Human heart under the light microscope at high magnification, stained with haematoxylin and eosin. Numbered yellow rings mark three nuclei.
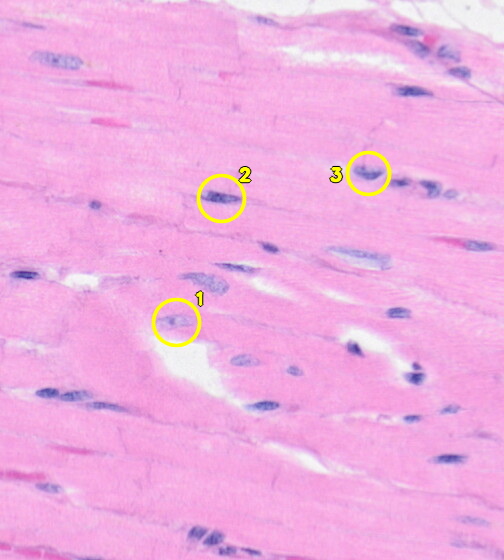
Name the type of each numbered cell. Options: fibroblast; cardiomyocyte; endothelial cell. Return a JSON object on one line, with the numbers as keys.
{"1": "cardiomyocyte", "2": "endothelial cell", "3": "fibroblast"}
